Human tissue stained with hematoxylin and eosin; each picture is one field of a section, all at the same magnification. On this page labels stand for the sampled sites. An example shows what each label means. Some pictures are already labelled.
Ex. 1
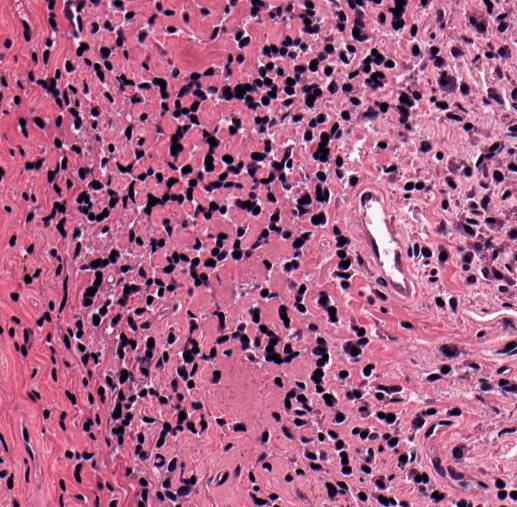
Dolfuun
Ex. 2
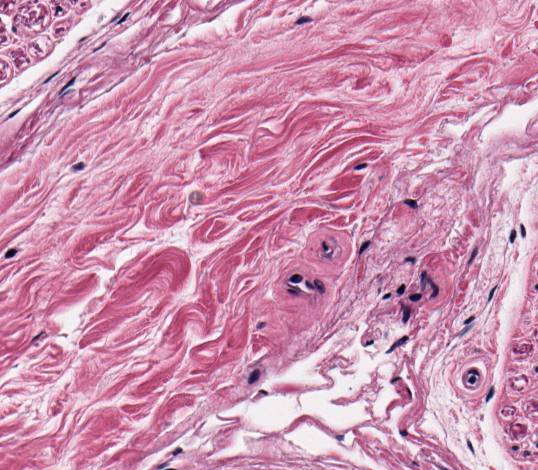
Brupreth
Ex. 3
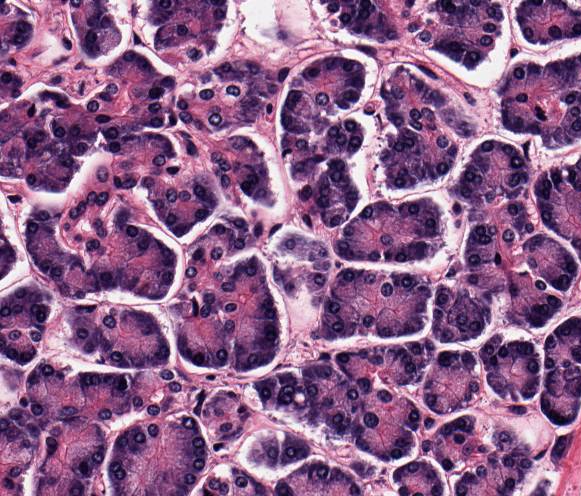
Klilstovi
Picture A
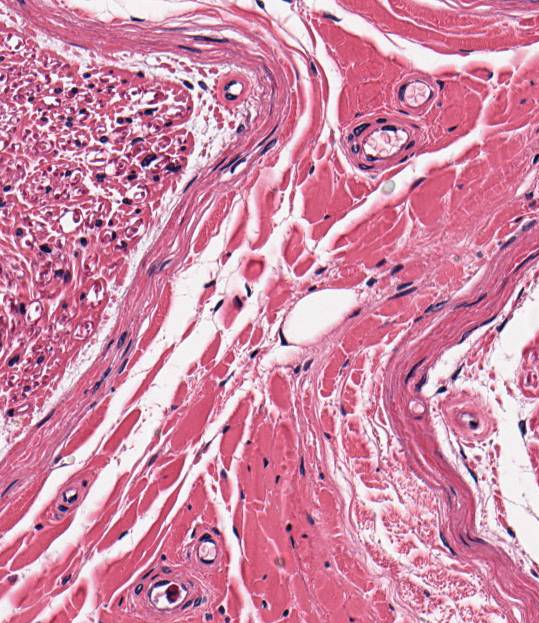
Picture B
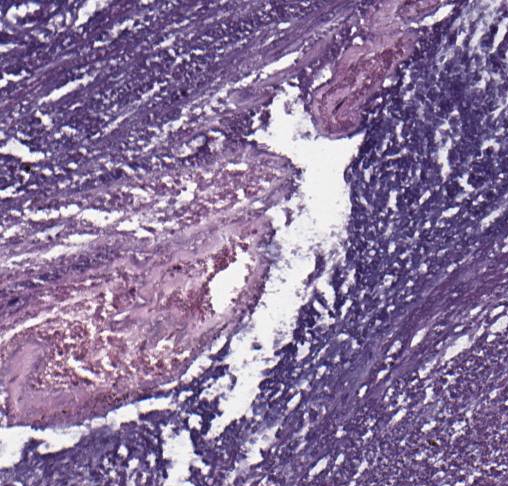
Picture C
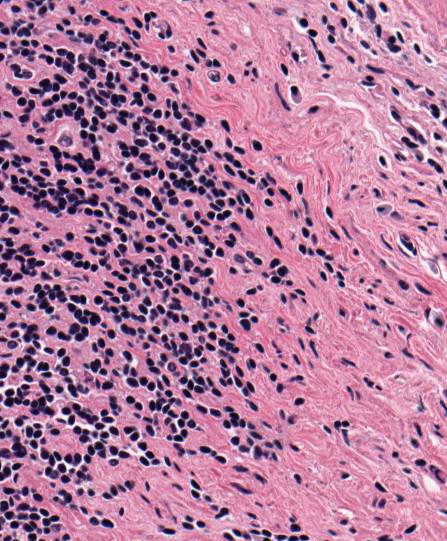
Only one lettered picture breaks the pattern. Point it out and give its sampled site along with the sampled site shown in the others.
Exception: A, showing Brupreth. Remaining pictures: Dolfuun.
